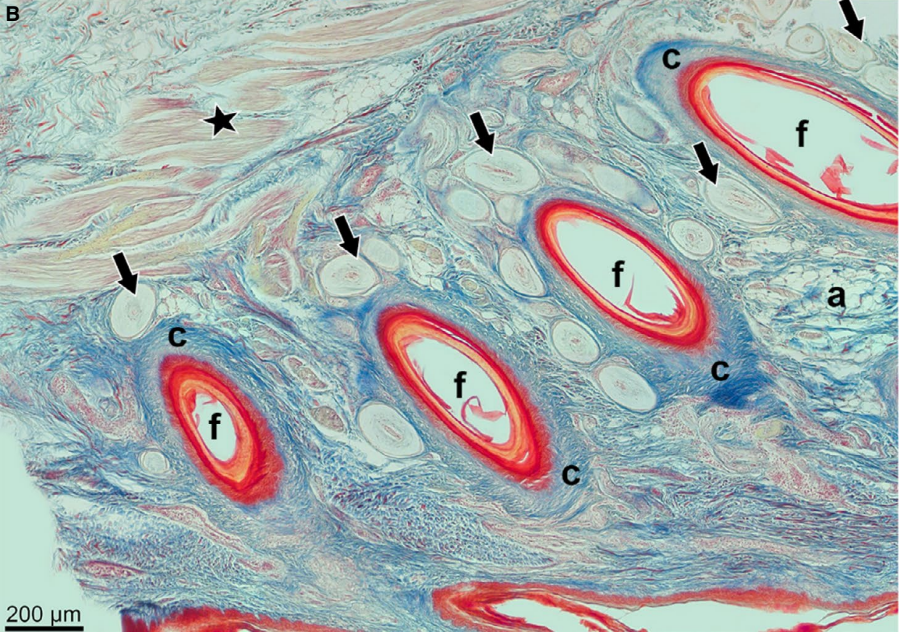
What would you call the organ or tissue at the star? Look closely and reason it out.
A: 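Muscle fibres. Long parallel pinkish-tan fibres run across the upper left. They form bundles distinct from the blue-stained connective tissue.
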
